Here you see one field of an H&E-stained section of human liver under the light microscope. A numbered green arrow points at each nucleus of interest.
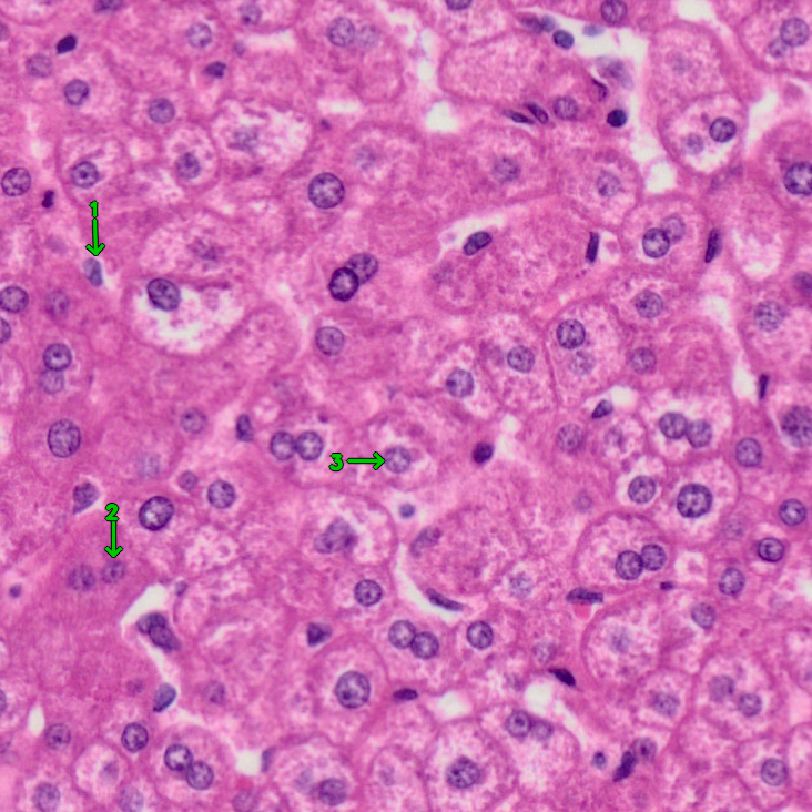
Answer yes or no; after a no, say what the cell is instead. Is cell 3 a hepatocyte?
Yes.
